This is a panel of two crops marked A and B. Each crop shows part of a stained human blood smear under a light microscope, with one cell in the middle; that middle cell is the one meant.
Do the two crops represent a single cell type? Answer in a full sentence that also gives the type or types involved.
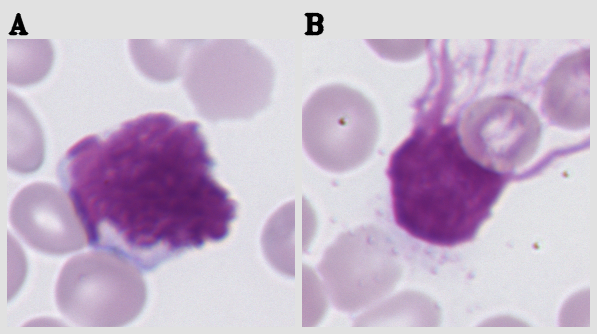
Yes, the reply for both crops is smudge cells.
